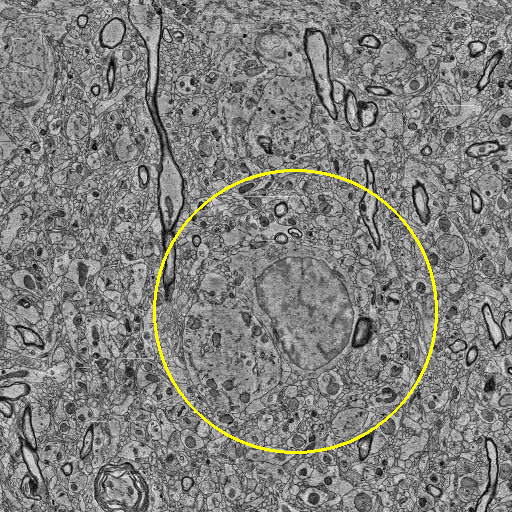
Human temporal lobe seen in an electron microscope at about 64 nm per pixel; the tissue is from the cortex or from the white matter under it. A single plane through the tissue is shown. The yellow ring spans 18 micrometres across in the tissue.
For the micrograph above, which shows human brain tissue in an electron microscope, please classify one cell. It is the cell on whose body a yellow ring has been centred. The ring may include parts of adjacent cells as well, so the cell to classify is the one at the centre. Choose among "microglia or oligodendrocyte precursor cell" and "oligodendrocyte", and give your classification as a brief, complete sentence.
I classify this cell as an oligodendrocyte.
